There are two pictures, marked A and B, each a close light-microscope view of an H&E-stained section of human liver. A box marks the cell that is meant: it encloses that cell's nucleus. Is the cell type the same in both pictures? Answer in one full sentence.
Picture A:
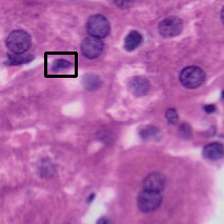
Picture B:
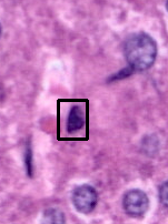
Yes; the cells in both pictures are “fibroblasts or stellate cells”.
